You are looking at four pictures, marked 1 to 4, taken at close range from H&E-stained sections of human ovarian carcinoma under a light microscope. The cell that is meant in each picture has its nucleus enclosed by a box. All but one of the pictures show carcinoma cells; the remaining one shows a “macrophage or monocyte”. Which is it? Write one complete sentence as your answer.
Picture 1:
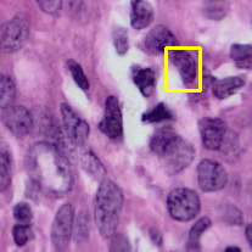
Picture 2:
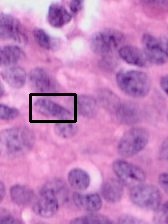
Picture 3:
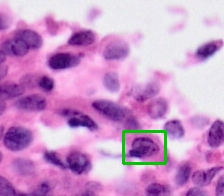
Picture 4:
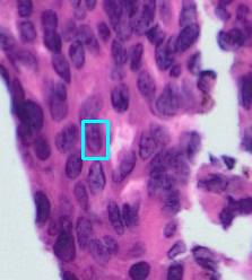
The picture with the “macrophage or monocyte” is 3.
